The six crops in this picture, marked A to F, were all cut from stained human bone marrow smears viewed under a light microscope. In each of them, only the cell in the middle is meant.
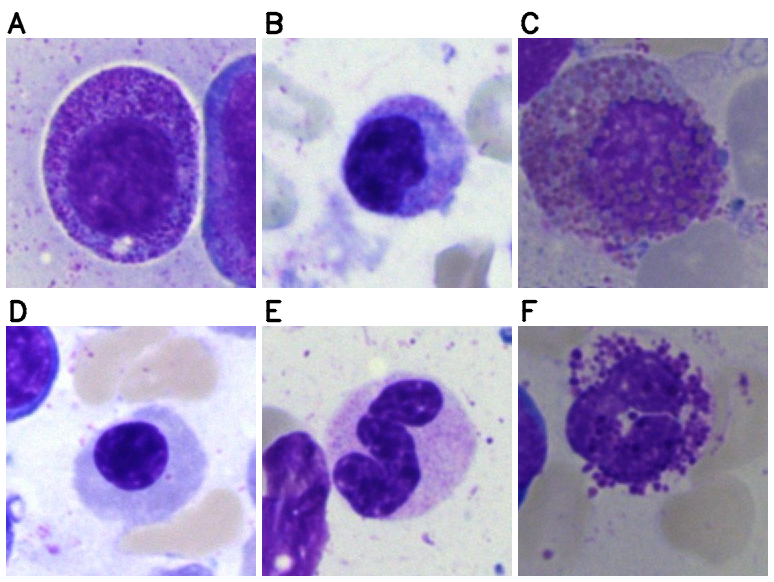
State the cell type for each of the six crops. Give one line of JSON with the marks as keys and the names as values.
{"A": "promyelocyte", "B": "myelocyte", "C": "eosinophil", "D": "normoblast", "E": "segmented neutrophil", "F": "basophil"}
